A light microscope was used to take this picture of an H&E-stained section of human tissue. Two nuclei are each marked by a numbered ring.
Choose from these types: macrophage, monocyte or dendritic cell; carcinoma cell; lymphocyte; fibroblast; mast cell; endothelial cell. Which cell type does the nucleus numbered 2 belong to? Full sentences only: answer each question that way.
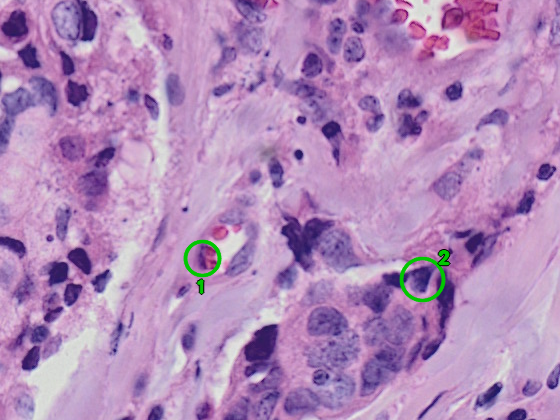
Identified by the number 2, the cell is a carcinoma cell.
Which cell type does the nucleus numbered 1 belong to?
Cell 1 of the marked set is an endothelial cell.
